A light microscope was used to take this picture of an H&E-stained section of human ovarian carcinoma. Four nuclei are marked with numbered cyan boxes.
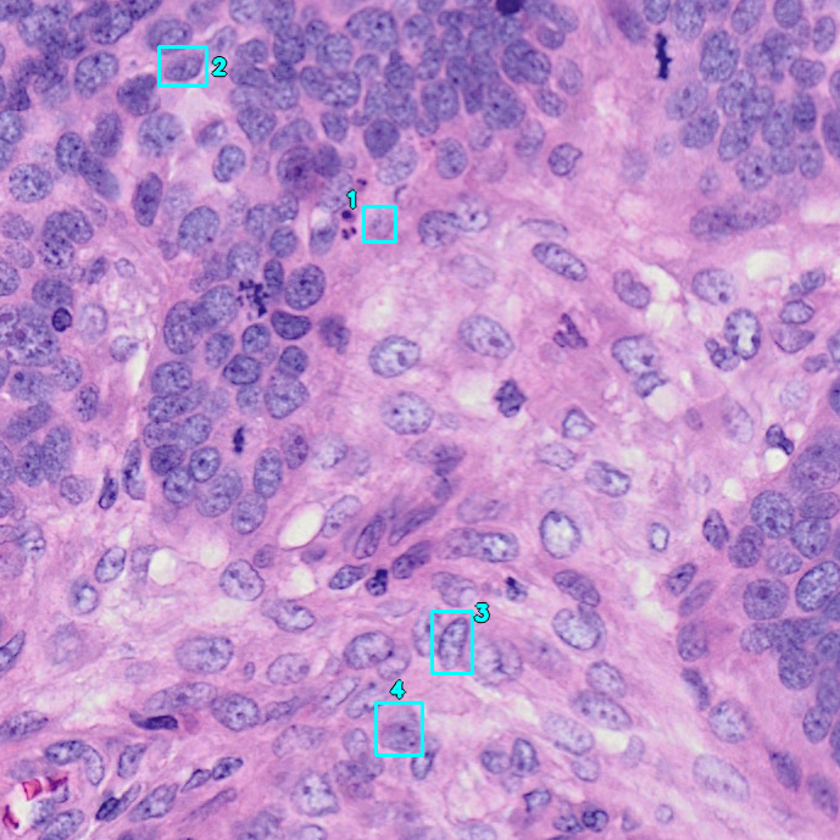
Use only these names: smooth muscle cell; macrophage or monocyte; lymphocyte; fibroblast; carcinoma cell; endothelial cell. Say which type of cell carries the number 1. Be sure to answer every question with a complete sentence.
The cell that carries the label 1 is a fibroblast.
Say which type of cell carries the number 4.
In the tissue shown, cell 4 is a fibroblast.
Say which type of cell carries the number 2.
The one numbered 2 among the marked cells is a carcinoma cell.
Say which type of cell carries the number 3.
Cell number 3 in this section is a fibroblast.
